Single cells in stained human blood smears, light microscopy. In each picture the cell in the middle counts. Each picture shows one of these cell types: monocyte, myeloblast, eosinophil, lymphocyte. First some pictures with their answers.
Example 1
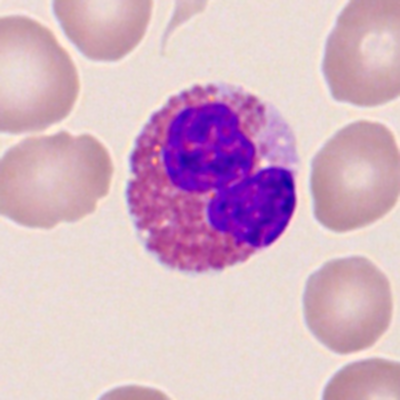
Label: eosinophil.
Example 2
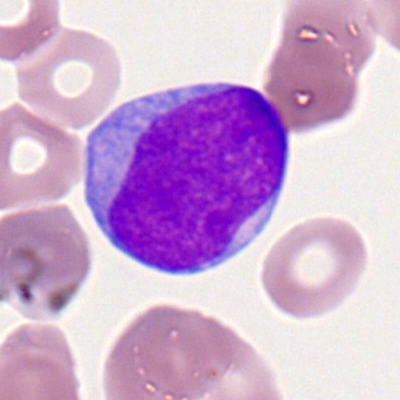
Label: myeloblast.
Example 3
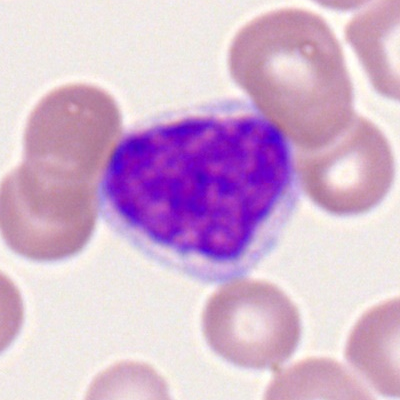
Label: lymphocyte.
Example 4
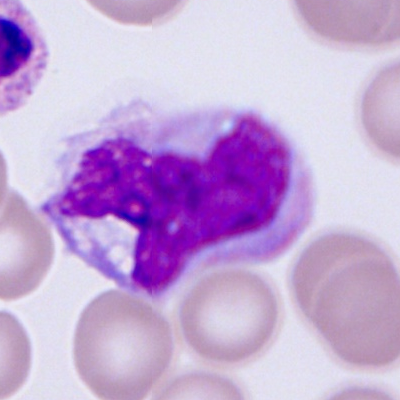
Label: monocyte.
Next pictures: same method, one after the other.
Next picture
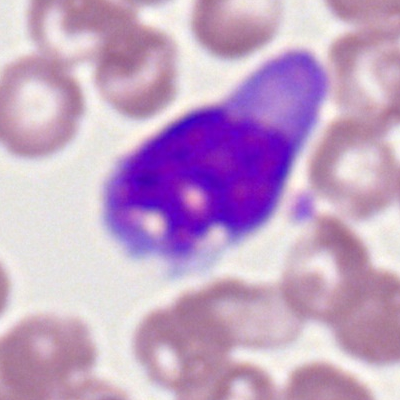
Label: monocyte.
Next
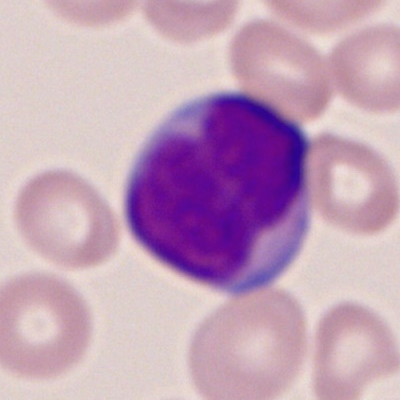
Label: myeloblast.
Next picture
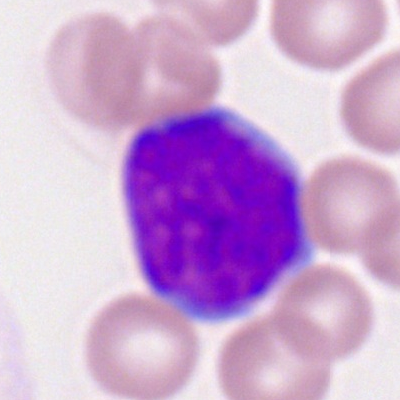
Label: myeloblast.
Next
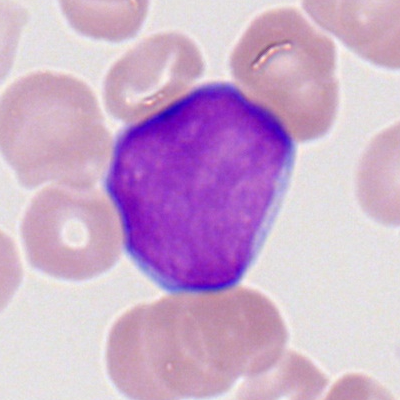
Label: myeloblast.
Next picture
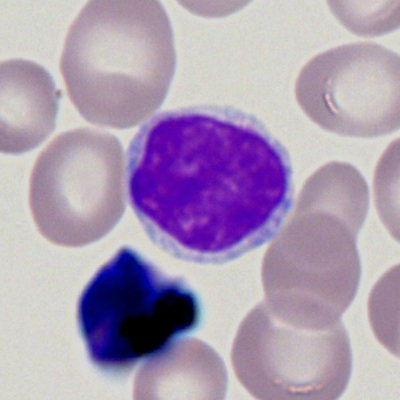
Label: lymphocyte.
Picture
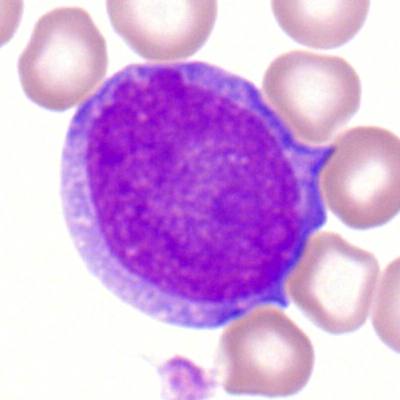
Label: myeloblast.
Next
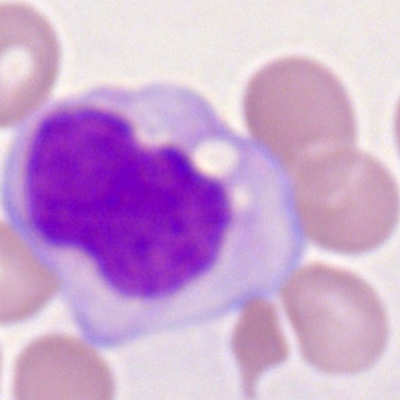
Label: monocyte.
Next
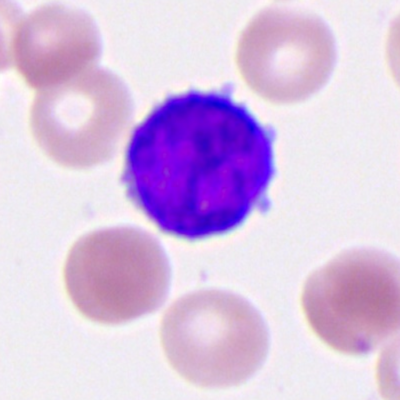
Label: lymphocyte.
